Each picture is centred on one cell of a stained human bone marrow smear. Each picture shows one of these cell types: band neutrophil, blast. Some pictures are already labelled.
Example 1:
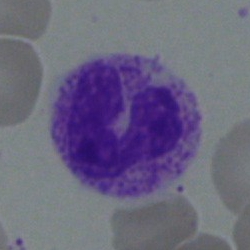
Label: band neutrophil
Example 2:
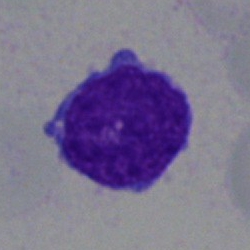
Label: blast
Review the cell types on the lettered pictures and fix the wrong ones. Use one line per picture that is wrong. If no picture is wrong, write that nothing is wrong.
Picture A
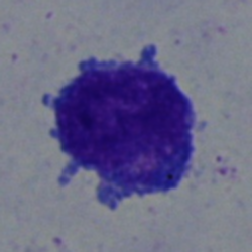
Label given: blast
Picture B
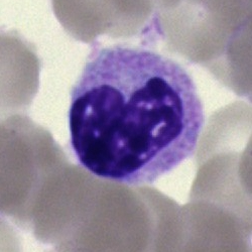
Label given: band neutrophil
All correct.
